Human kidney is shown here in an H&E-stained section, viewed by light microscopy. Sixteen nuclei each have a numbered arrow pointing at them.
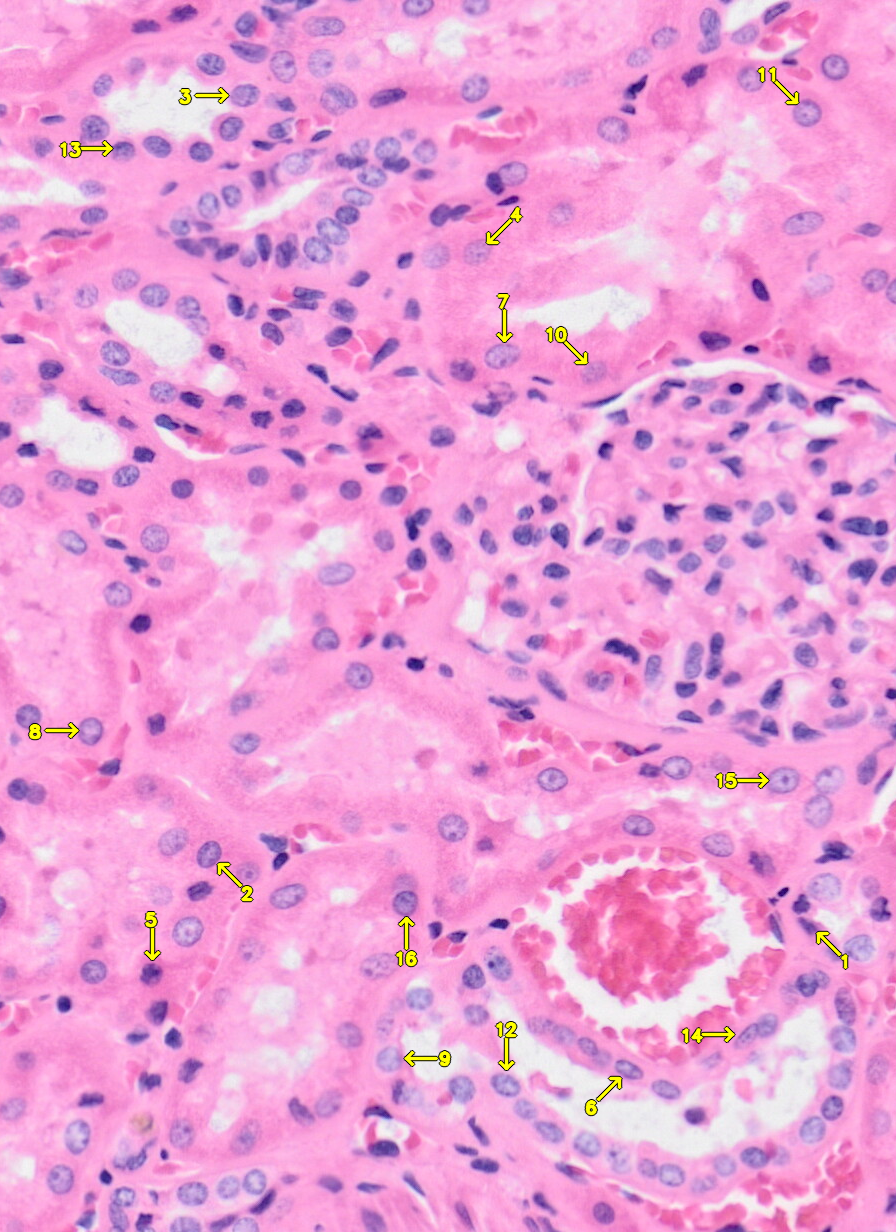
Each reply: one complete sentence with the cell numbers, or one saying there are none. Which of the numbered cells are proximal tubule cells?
The numbers 2, 4, 5, 7, 8, 10, 11, 15 and 16 refer to cells that are proximal tubule cells.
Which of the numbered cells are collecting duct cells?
Cells numbered 1, 6, 9, 12 and 14 belong to the group of collecting duct cells.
